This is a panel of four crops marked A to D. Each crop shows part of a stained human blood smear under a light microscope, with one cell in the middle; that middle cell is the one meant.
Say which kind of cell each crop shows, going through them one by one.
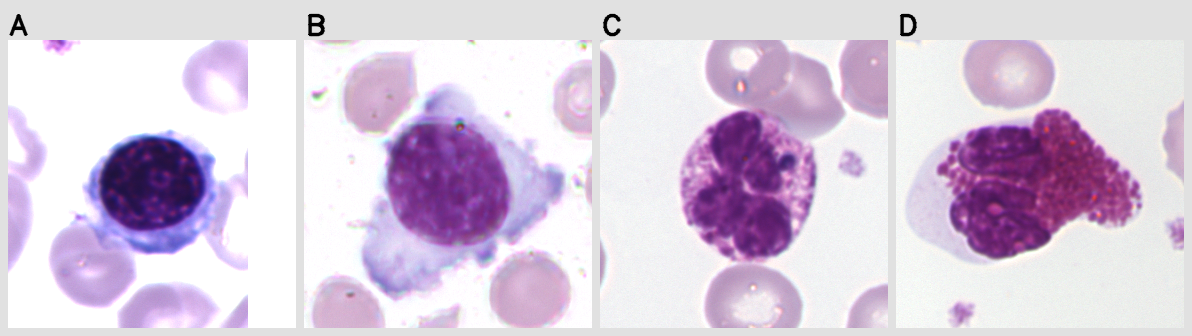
A: erythroblast
B: plasma cell
C: basophil
D: eosinophil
